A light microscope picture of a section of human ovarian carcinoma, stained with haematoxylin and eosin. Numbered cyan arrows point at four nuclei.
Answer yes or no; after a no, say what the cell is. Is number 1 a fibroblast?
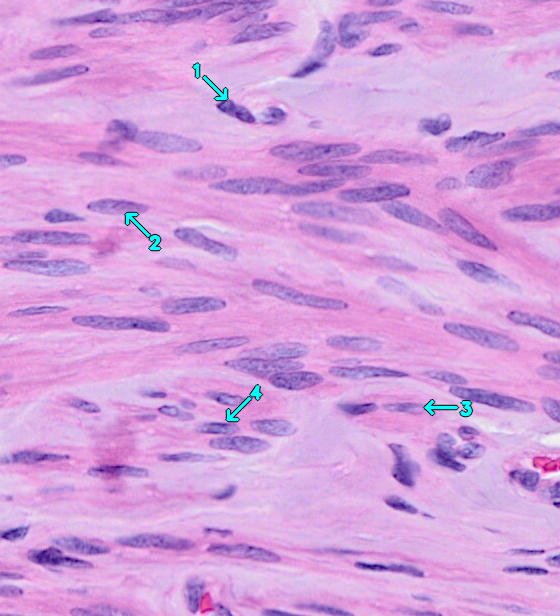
Yes.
